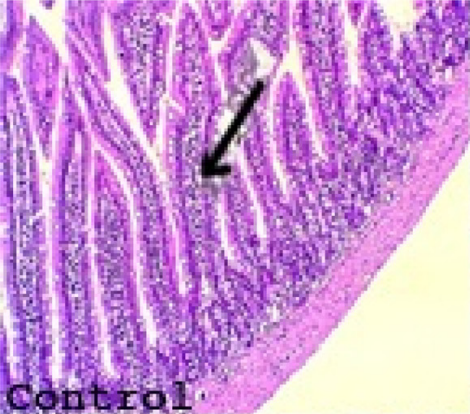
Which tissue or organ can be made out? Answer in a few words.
intestine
